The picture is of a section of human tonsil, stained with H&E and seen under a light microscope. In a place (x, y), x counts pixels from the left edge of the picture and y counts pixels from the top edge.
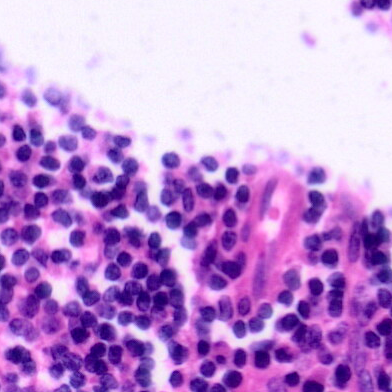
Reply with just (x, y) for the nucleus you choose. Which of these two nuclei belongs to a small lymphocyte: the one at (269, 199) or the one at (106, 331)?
(106, 331)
